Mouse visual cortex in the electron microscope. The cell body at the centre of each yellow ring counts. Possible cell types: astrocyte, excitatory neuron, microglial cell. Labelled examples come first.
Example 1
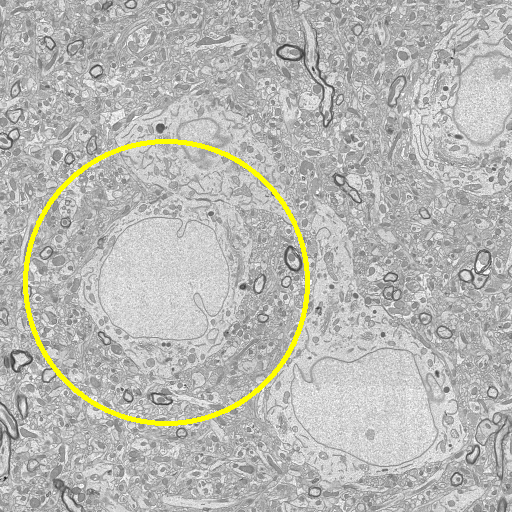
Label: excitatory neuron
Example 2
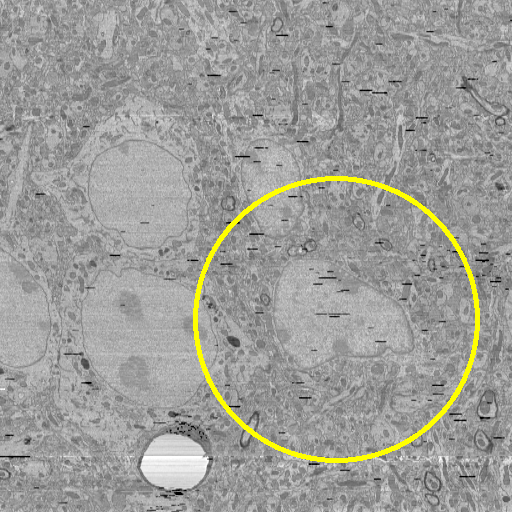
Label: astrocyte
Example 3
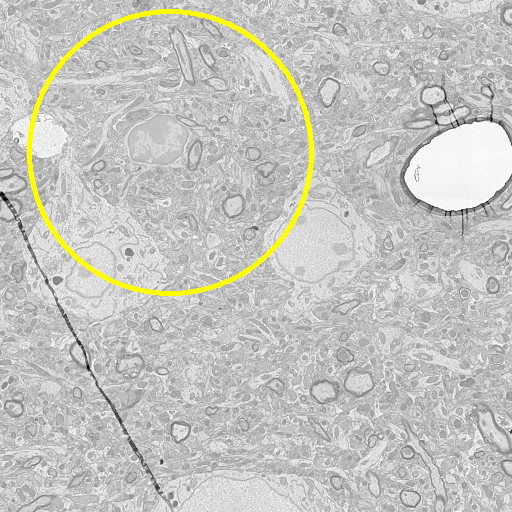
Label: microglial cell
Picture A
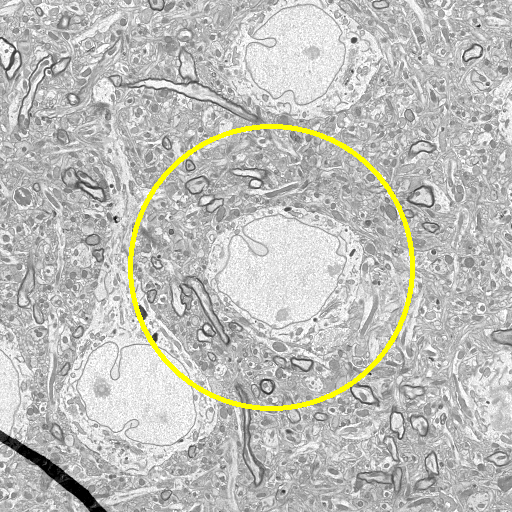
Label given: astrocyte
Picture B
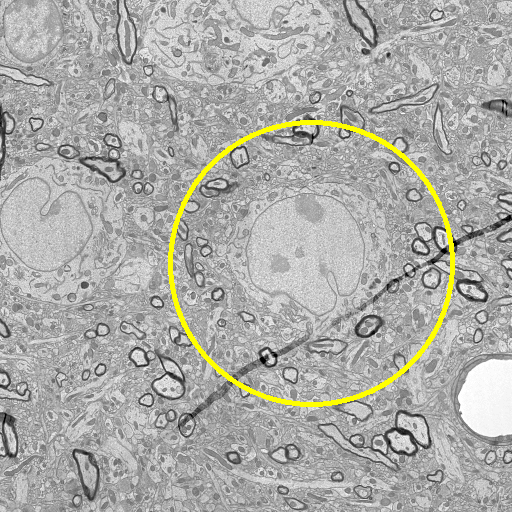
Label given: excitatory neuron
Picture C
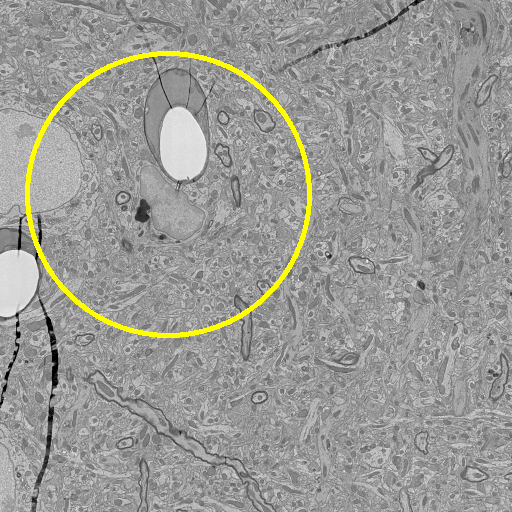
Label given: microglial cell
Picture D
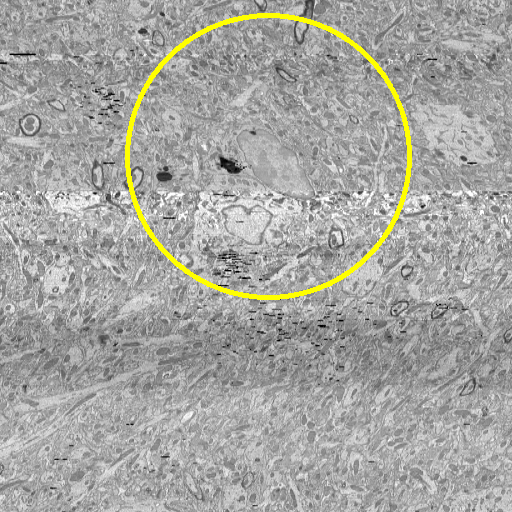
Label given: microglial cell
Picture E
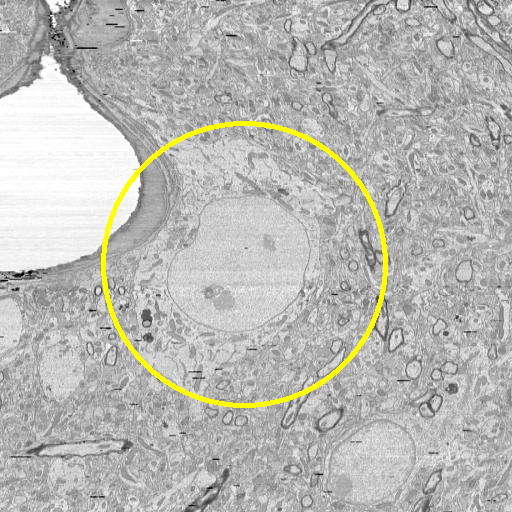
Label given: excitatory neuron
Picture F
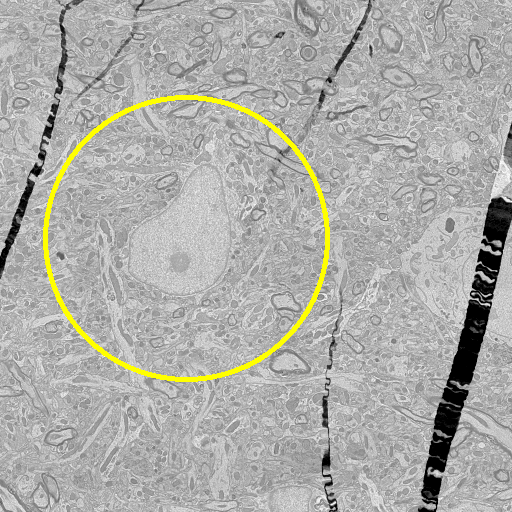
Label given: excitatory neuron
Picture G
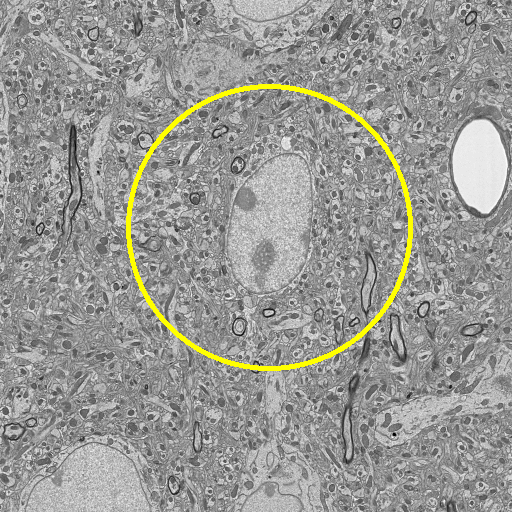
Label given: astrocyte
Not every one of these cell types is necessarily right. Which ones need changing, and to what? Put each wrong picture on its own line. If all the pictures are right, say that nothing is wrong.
A is labelled astrocyte; correct label: excitatory neuron
F is labelled excitatory neuron; correct label: astrocyte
